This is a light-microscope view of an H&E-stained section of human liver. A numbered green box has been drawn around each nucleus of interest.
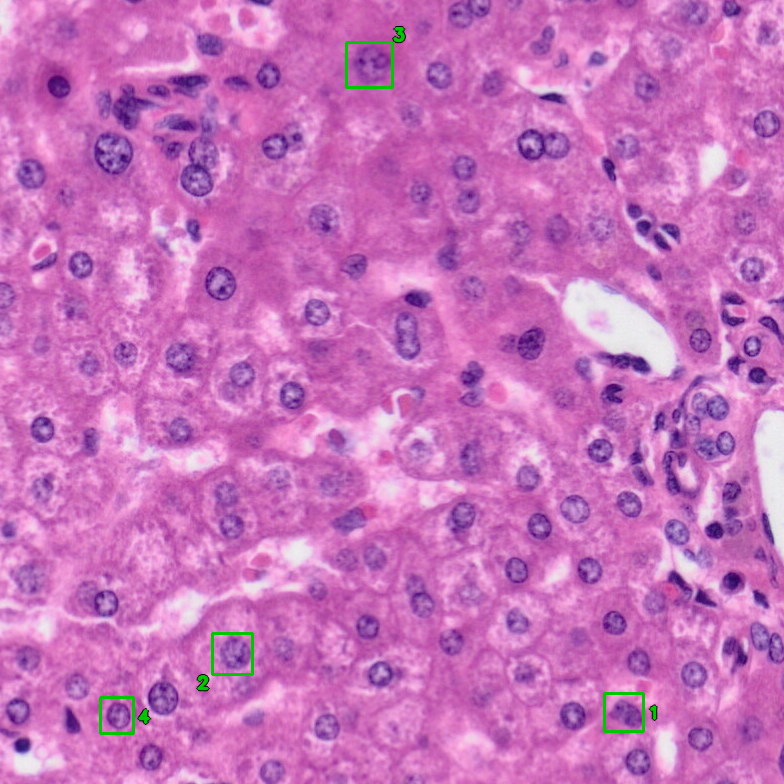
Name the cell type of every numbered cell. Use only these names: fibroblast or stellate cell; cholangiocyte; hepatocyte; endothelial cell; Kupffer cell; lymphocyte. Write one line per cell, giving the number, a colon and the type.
1: Kupffer cell
2: hepatocyte
3: hepatocyte
4: hepatocyte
